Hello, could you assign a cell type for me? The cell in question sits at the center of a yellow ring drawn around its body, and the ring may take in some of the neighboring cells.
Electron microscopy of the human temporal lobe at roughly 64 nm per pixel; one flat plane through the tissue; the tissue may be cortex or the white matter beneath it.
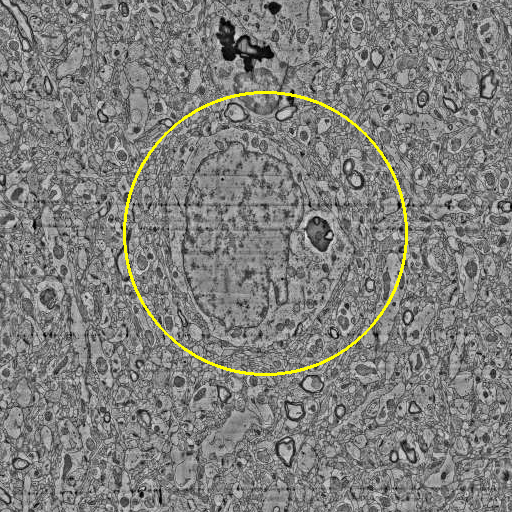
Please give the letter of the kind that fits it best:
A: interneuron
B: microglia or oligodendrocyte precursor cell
A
